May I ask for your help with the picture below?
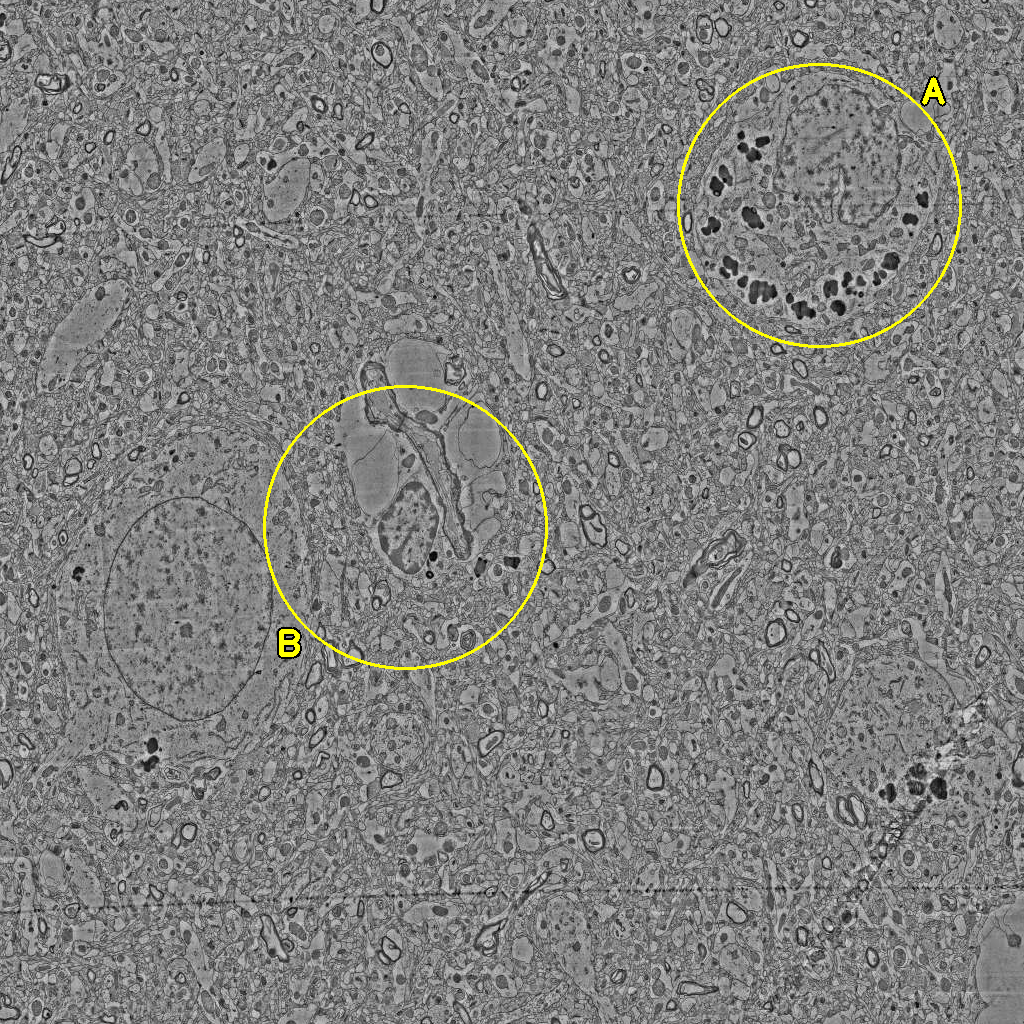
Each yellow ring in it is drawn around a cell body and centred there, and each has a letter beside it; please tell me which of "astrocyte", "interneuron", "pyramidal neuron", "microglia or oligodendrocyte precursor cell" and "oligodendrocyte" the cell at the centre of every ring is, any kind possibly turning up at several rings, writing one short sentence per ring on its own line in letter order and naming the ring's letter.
Ring A is drawn around the cell body of an interneuron.
Ring B is drawn around the cell body of a microglial cell or oligodendrocyte precursor cell.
